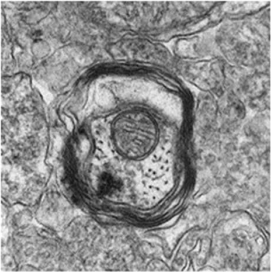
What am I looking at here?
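The pale axon within still holds a mitochondrion with fine internal folds and a scatter of small dark dots, the cut ends of its filaments and tubules. All around lies the neuropil, packed with pale membrane profiles of other cell processes.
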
